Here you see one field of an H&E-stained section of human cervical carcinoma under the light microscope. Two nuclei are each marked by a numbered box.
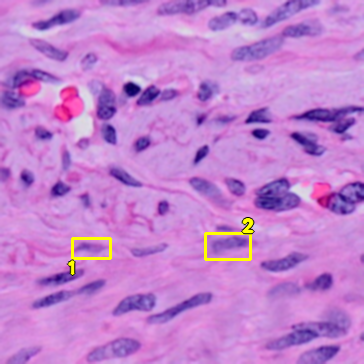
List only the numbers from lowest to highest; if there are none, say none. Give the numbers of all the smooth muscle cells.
1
